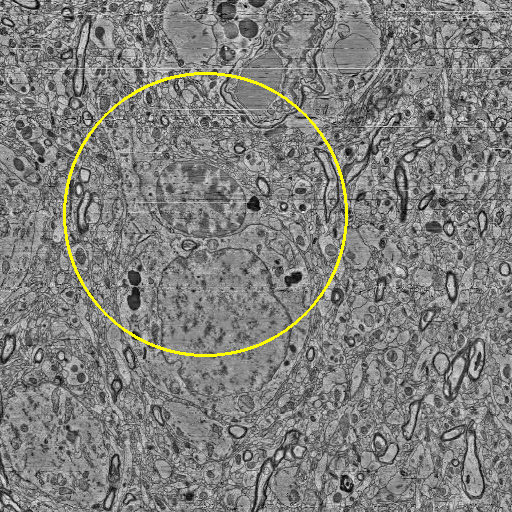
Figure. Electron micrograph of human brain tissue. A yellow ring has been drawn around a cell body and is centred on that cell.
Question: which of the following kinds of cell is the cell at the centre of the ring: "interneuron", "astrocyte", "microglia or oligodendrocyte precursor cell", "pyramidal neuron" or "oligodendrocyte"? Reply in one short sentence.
The cell at the centre of the ring is an oligodendrocyte.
